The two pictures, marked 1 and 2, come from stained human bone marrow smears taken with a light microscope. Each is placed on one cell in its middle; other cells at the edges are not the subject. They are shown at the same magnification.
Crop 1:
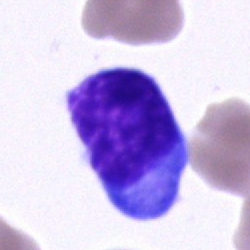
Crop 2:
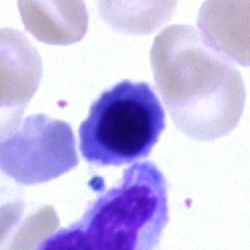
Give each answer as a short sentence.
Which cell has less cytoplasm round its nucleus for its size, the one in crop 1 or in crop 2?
The nucleus fills more of the cell in crop 1 than in crop 2.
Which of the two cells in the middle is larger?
Crop 1 holds the larger cell; it covers about 2.5 times the area of the cell in crop 2.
